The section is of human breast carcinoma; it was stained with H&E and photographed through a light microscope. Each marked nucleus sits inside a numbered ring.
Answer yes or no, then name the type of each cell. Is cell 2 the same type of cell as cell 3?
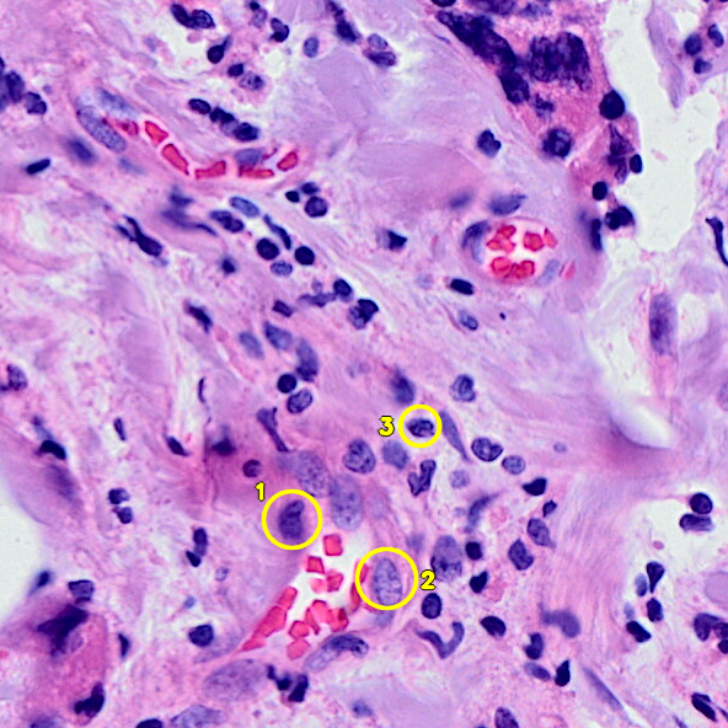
No, cell 2 is an endothelial cell and cell 3 is a lymphocyte.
